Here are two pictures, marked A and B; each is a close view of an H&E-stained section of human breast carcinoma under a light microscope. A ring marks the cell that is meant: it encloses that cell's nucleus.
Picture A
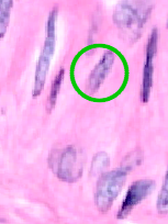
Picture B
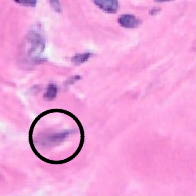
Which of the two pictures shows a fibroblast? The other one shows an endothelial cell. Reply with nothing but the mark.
B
